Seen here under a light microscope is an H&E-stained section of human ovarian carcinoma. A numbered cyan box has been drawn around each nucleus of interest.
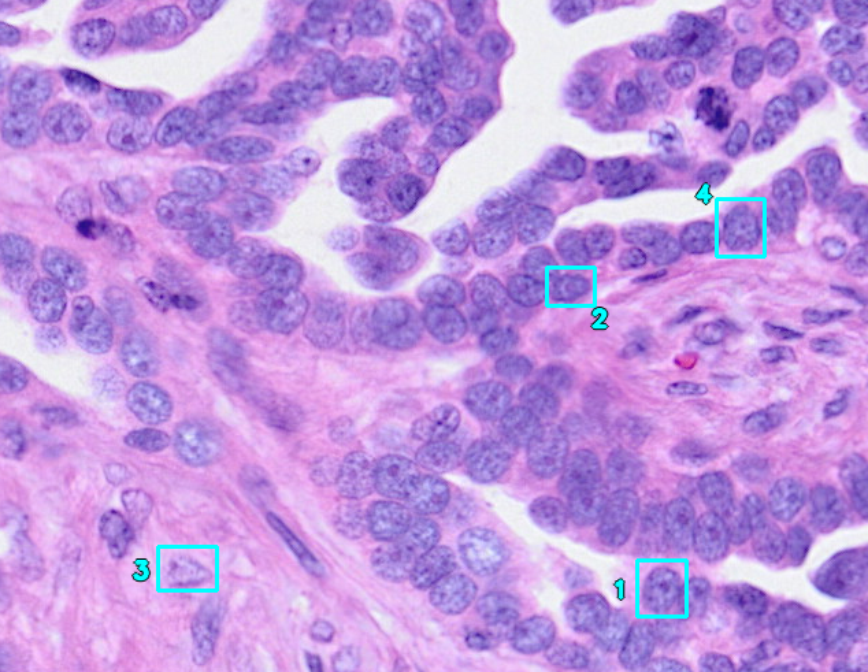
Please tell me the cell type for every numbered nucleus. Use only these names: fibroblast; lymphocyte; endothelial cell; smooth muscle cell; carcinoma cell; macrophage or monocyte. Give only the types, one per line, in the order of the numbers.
carcinoma cell
carcinoma cell
fibroblast
carcinoma cell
